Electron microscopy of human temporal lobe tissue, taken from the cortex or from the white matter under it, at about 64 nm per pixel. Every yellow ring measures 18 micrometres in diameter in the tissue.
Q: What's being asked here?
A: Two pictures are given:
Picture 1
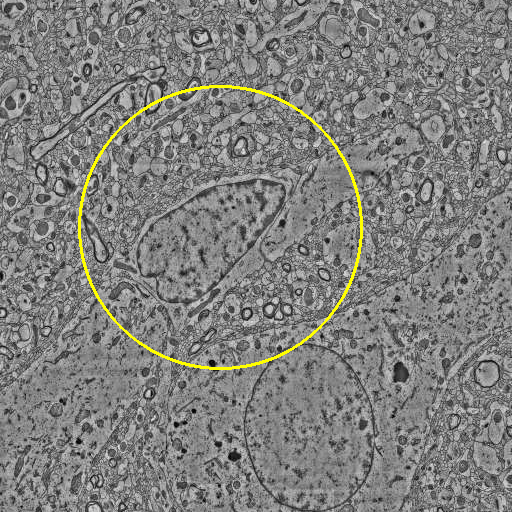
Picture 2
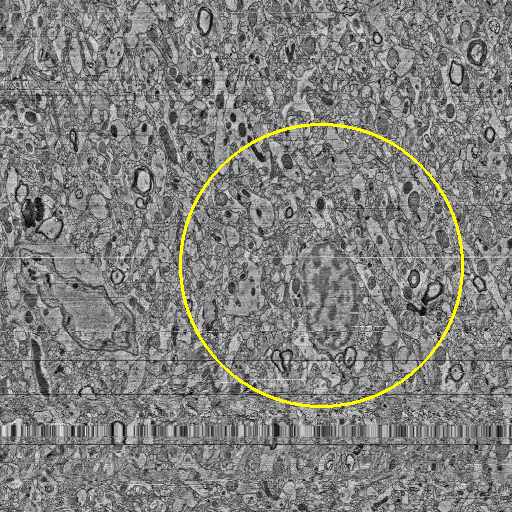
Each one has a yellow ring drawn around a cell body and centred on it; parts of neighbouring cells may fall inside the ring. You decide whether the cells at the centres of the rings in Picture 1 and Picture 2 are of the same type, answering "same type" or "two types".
two types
